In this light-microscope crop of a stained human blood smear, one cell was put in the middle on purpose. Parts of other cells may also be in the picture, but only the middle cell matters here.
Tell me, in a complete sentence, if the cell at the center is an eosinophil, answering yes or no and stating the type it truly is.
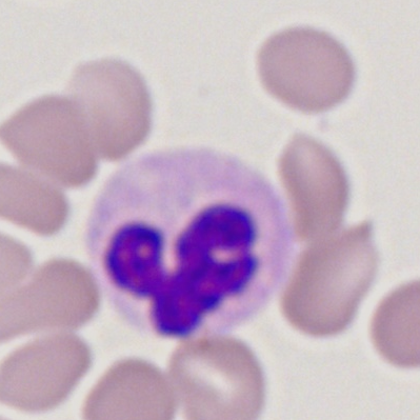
No, the centre cell is not an eosinophil but a segmented neutrophil.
